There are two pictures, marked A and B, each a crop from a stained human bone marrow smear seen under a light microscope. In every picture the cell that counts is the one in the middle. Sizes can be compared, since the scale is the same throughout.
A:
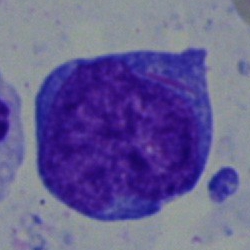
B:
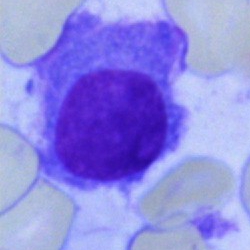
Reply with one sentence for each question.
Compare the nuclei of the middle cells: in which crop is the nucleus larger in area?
It is the nucleus in crop A, about 2 times as large in area as the one in crop B.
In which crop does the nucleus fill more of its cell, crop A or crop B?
Of the two, the nucleus in crop A makes up the greater part of its cell.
